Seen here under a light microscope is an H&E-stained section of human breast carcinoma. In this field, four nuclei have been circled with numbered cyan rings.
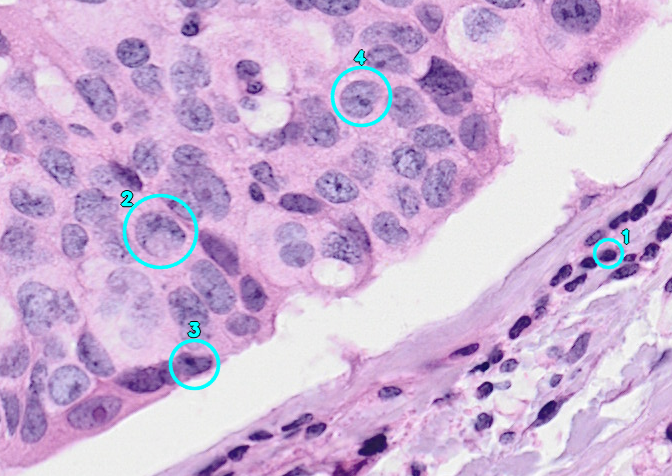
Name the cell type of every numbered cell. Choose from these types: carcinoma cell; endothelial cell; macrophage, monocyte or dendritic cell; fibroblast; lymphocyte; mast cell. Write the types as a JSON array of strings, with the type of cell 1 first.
["lymphocyte", "carcinoma cell", "carcinoma cell", "carcinoma cell"]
